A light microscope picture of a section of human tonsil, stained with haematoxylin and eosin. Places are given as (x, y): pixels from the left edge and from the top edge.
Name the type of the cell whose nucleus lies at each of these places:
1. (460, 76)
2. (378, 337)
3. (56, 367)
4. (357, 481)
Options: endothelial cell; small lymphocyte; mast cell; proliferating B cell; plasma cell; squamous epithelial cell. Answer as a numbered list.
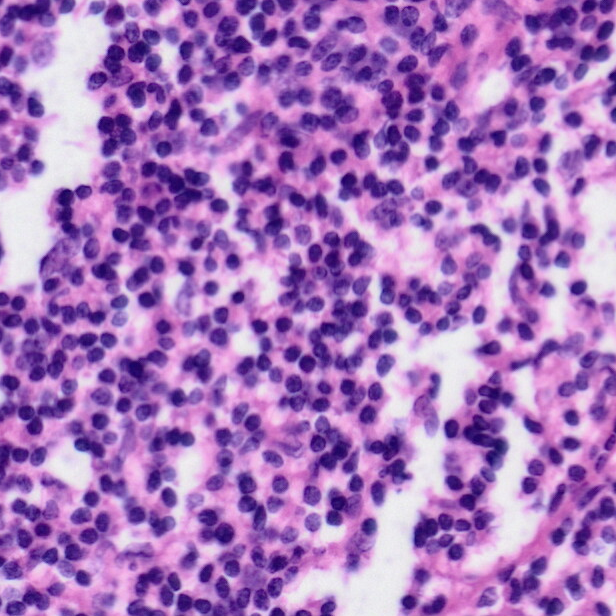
1. endothelial cell
2. small lymphocyte
3. small lymphocyte
4. small lymphocyte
